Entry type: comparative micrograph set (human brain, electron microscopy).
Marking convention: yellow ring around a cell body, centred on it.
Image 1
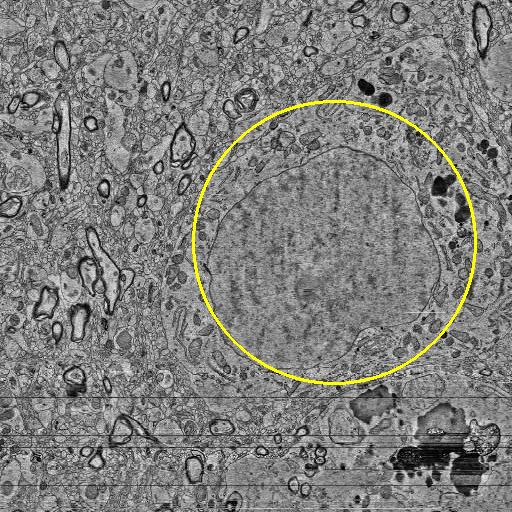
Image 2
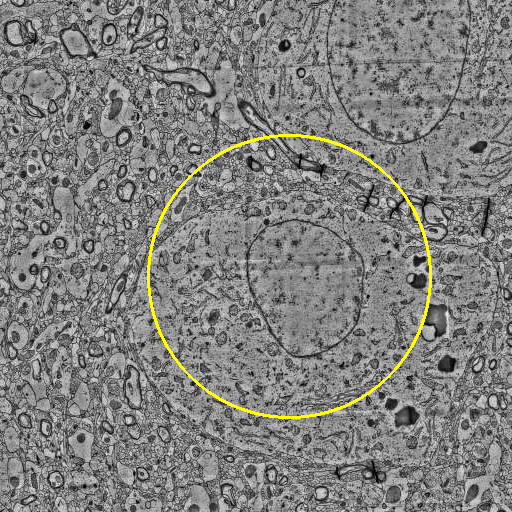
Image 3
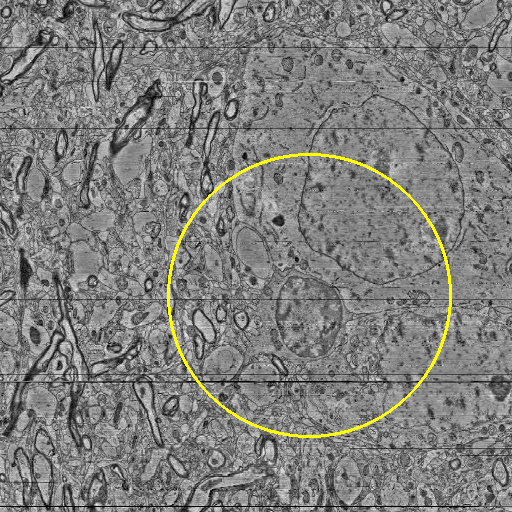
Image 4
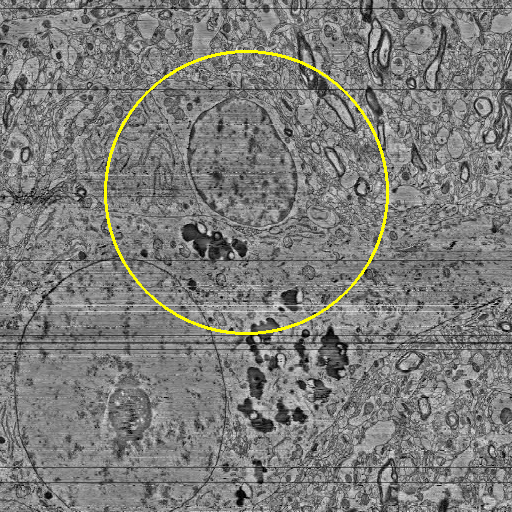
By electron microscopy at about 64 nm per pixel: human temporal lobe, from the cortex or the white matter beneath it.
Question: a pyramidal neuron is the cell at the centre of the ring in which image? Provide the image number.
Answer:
2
